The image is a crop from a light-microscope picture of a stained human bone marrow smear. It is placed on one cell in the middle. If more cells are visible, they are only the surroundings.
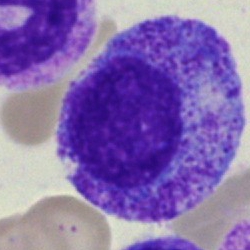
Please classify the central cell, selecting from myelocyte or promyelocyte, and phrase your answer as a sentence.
The cell in the middle of the field of view is a promyelocyte.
